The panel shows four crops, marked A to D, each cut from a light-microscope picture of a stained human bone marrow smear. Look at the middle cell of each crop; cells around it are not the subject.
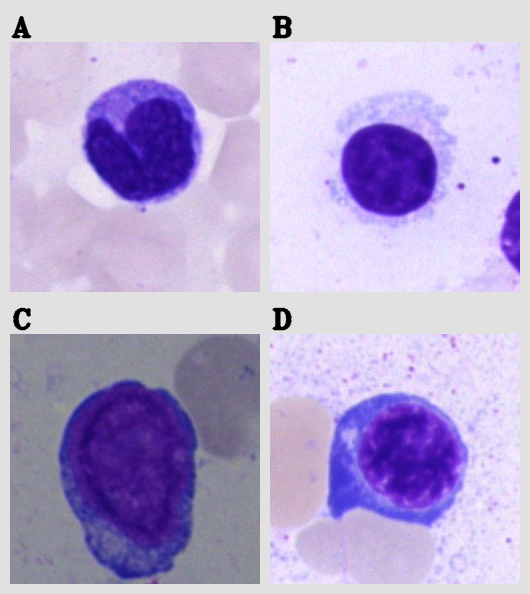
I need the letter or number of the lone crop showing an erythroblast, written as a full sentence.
The crop with an erythroblast at its center is crop D.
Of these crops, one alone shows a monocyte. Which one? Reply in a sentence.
Crop A is the one depicting a monocyte.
